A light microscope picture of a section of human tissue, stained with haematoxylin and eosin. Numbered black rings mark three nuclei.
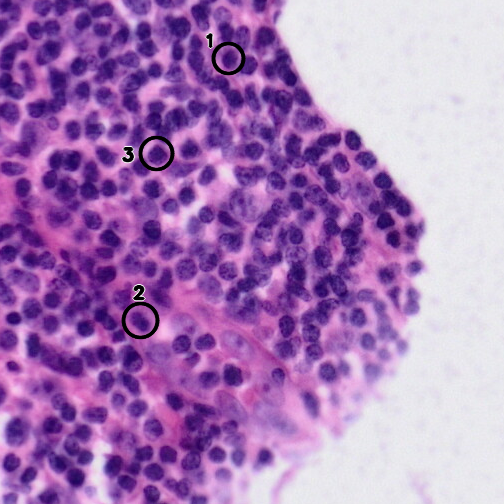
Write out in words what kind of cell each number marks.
Cell 1 is a small lymphocyte, cell 2 is an endothelial cell and cell 3 is a small lymphocyte.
